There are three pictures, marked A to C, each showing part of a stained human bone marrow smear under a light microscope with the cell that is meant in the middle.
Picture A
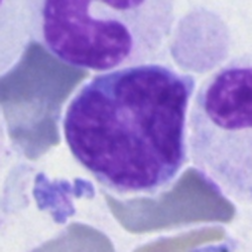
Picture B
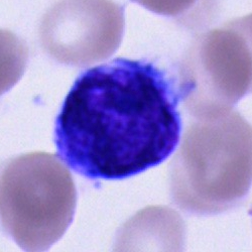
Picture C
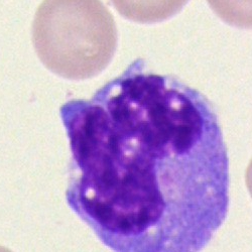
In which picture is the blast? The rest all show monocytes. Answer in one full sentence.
It is picture B that shows the blast.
